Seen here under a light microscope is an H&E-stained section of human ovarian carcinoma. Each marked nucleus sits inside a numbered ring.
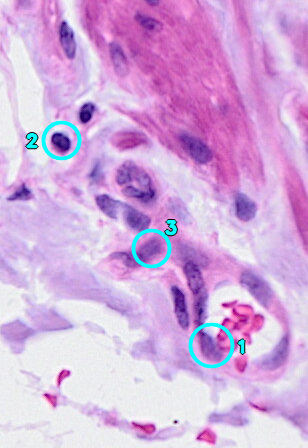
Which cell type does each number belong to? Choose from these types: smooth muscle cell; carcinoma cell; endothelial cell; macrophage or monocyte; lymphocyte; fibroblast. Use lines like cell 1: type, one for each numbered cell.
cell 1: endothelial cell
cell 2: lymphocyte
cell 3: endothelial cell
